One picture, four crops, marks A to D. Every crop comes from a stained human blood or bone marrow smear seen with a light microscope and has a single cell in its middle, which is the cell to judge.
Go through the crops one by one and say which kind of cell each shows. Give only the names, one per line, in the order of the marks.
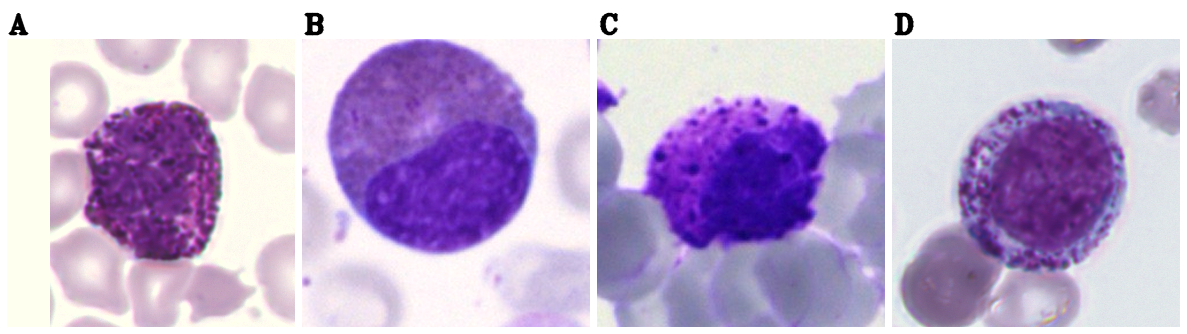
basophil
eosinophil
basophil
promyelocyte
